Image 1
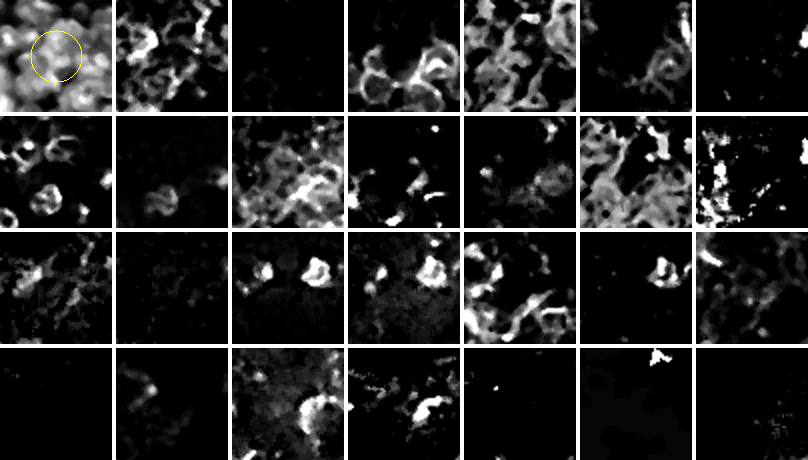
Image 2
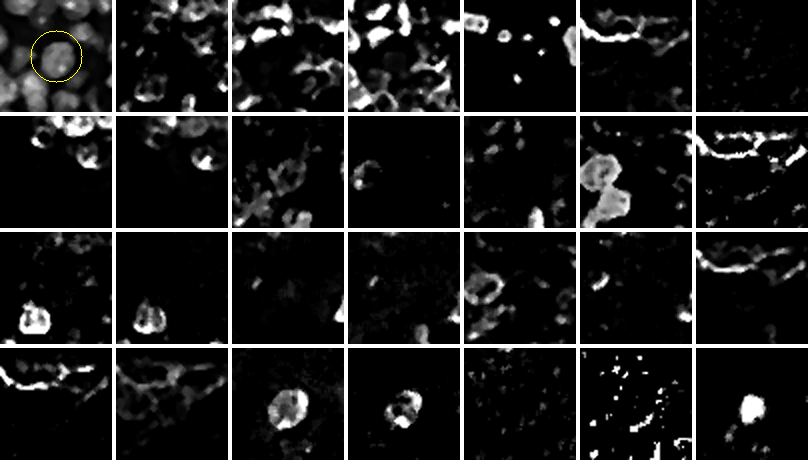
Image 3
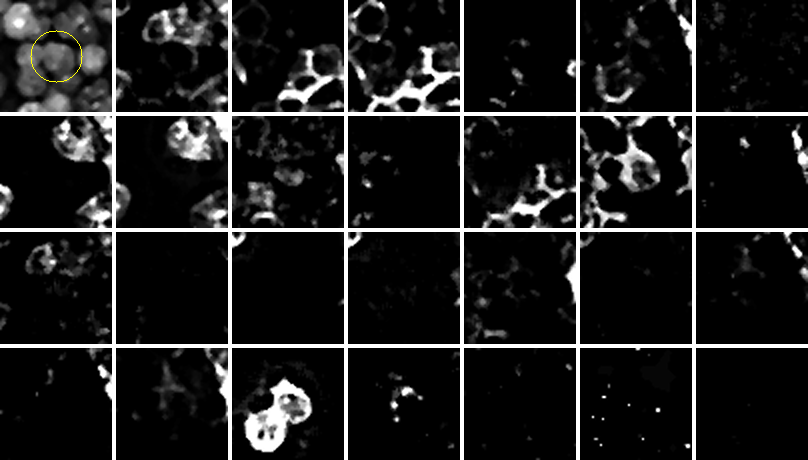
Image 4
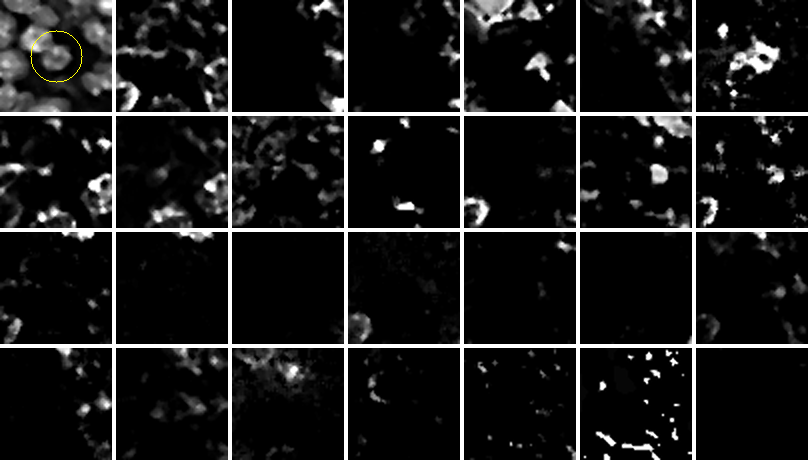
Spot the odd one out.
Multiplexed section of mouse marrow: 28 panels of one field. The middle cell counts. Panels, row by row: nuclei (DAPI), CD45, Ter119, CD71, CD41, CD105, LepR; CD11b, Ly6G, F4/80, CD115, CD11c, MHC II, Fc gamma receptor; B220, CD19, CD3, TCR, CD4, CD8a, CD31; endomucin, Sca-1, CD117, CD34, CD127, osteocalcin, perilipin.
Picture 4 (a LepR-positive perivascular cell among common myeloid progenitors).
